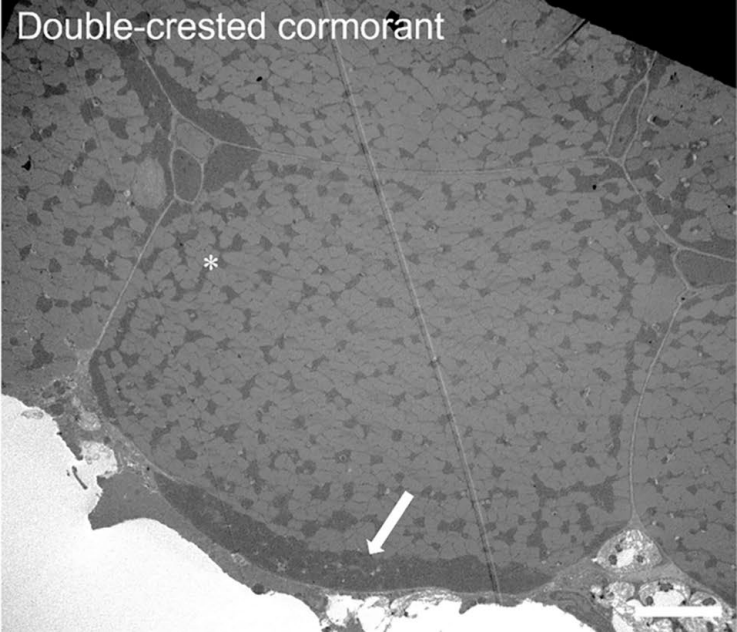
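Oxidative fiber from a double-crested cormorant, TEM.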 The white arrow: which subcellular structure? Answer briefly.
subsarcolemmal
